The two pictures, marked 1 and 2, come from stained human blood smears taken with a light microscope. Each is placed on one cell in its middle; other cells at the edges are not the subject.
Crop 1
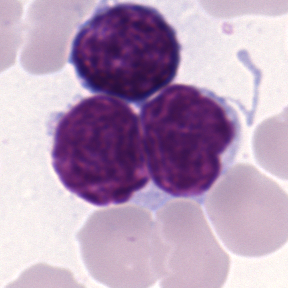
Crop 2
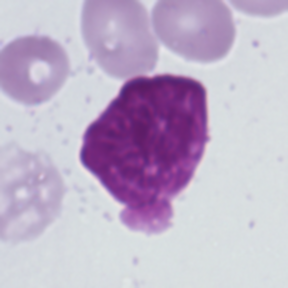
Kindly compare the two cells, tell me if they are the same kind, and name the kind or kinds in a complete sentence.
No, the cells are a myeloblast in crop 1 and a smudge cell in crop 2.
